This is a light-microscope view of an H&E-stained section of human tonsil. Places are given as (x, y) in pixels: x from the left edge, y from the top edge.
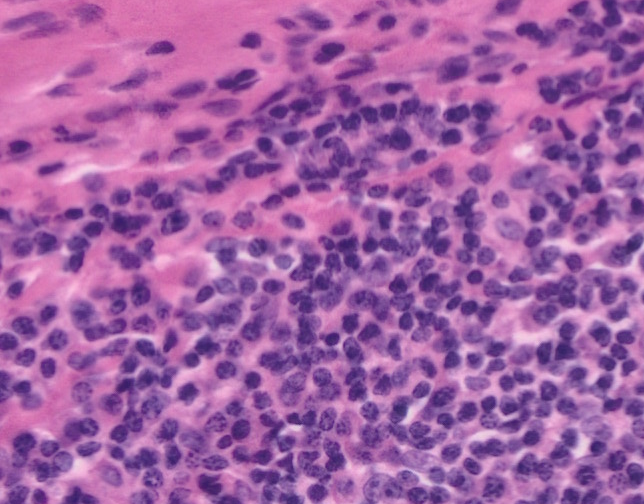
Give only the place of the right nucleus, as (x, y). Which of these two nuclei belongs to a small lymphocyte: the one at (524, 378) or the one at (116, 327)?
(524, 378)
